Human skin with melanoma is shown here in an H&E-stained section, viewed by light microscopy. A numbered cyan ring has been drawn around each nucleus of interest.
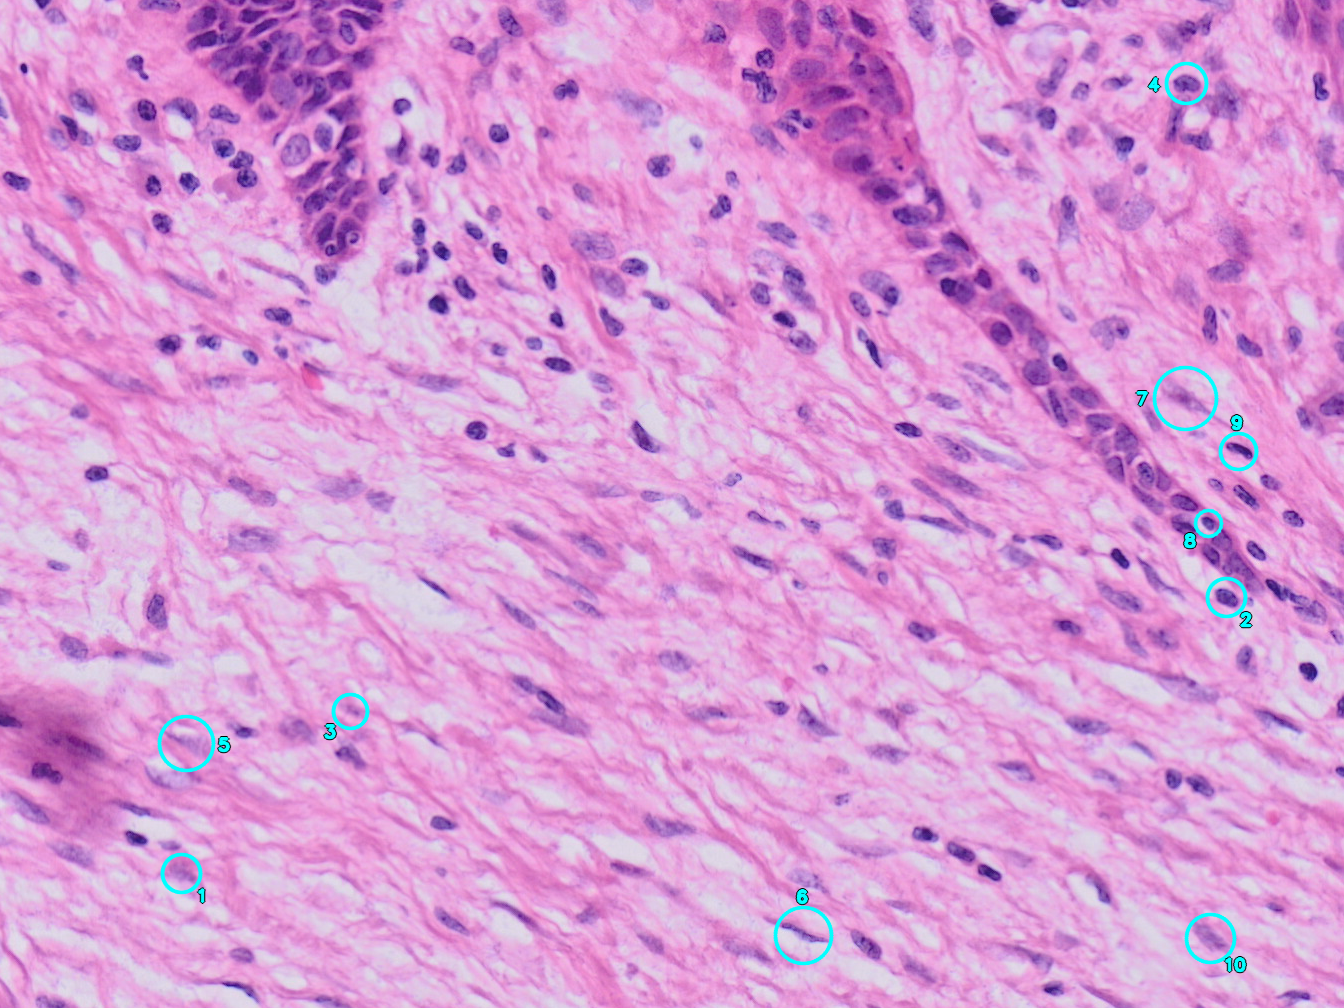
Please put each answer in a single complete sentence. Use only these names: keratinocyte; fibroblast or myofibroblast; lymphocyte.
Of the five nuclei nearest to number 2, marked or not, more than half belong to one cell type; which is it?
Keratinocytes account for more than half of the five nuclei nearest to number 2.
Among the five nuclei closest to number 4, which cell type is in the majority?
Of the five nuclei nearest to number 4, most belong to fibroblasts or myofibroblasts.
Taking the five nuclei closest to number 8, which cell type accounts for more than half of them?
Keratinocytes account for more than half of the five nuclei nearest to number 8.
